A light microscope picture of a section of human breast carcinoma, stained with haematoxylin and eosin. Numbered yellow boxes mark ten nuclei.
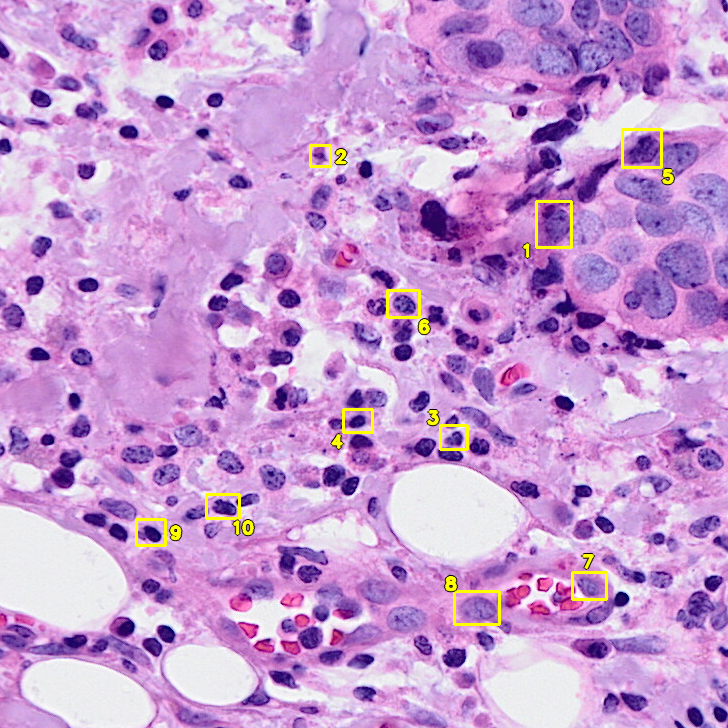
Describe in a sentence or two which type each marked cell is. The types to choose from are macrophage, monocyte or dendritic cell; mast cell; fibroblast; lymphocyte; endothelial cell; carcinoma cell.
Cell 1 is a carcinoma cell, cell 2 is a macrophage, monocyte or dendritic cell, cell 3 is a lymphocyte, cell 4 is a lymphocyte, cell 5 is a carcinoma cell, cell 6 is a mast cell, cell 7 is an endothelial cell, cell 8 is an endothelial cell, cell 9 is a lymphocyte and cell 10 is a lymphocyte.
